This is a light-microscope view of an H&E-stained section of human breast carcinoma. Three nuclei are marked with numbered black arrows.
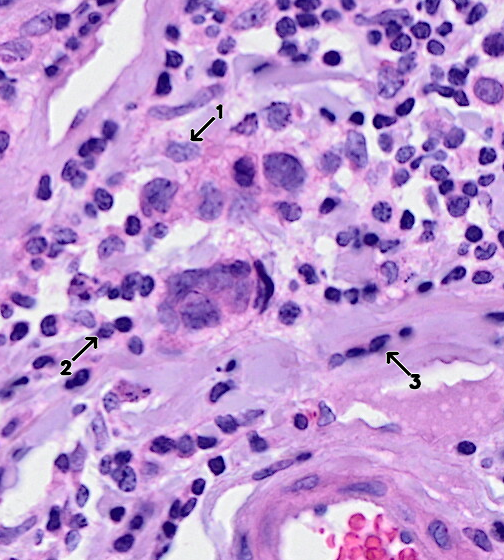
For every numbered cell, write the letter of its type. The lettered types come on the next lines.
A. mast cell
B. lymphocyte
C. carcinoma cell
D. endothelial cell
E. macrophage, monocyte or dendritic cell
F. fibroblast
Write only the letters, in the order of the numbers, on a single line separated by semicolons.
E; B; B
